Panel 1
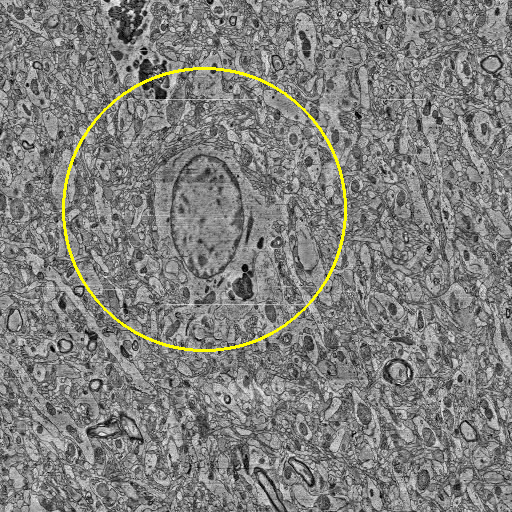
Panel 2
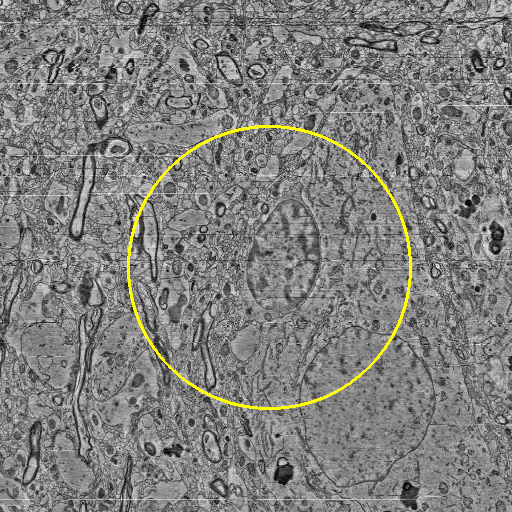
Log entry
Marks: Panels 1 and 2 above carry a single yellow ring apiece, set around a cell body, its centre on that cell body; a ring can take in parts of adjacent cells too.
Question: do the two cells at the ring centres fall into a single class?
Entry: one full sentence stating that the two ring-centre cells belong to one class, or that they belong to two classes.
The two ring-centre cells in Panels 1 and 2 belong to two classes.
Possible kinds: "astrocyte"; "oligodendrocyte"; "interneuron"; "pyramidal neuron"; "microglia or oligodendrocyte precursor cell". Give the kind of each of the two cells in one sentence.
The cell in the second picture is an oligodendrocyte, and that in the first is an astrocyte.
